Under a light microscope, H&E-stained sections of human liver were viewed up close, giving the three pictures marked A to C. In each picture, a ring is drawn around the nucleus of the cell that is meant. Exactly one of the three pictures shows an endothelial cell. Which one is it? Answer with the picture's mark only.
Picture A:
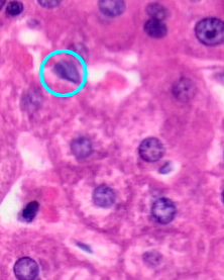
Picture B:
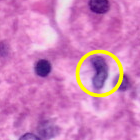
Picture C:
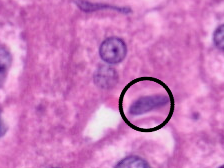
A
